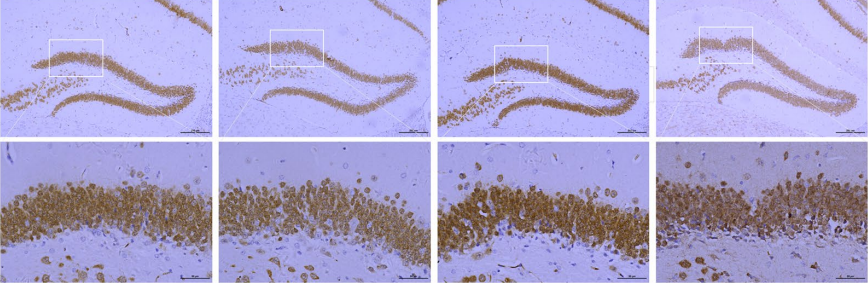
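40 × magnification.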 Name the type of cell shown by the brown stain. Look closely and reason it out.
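Brown-stained rounded cell bodies are packed in a dense curved band. The answer: neurons.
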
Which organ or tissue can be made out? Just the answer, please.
Hippocampus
